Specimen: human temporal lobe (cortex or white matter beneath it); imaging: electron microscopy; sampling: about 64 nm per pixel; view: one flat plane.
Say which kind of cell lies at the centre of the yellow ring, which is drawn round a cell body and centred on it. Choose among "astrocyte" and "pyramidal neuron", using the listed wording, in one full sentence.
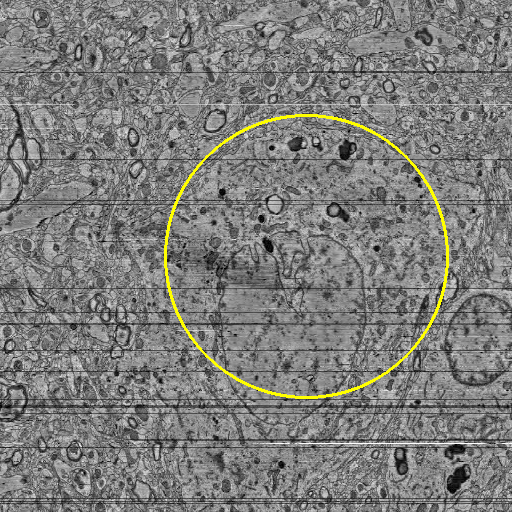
Going by the list, the cell at the yellow ring's centre is a pyramidal neuron.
